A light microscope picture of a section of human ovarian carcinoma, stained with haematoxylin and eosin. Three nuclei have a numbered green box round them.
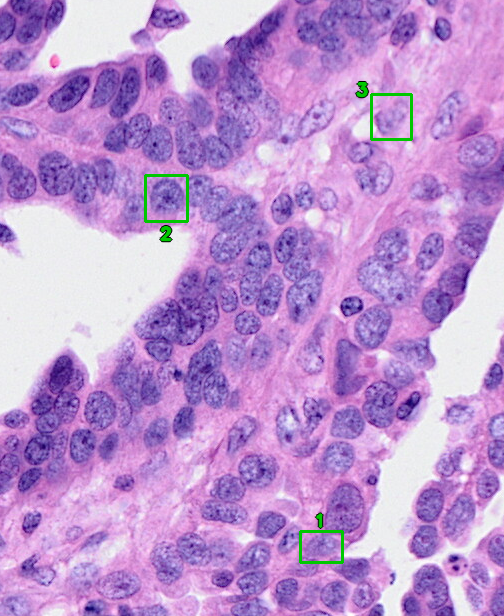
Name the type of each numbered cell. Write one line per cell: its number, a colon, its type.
1: carcinoma cell
2: carcinoma cell
3: fibroblast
